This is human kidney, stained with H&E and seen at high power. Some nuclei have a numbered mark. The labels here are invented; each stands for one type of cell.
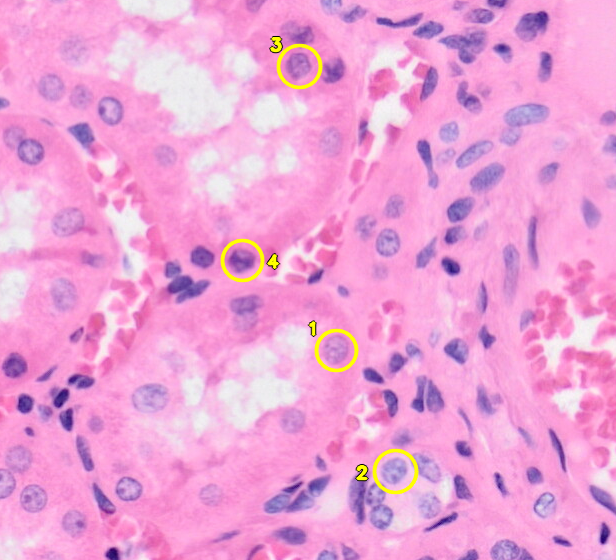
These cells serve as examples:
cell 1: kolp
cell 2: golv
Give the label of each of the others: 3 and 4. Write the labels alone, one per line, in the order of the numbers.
kolp
kolp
